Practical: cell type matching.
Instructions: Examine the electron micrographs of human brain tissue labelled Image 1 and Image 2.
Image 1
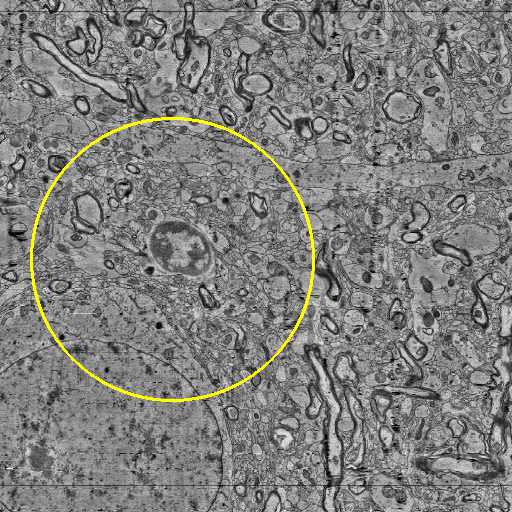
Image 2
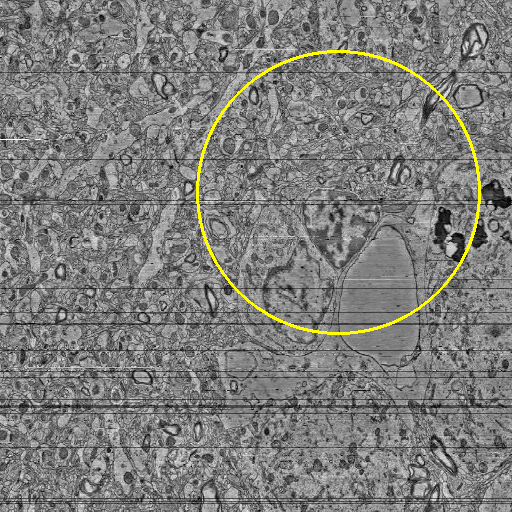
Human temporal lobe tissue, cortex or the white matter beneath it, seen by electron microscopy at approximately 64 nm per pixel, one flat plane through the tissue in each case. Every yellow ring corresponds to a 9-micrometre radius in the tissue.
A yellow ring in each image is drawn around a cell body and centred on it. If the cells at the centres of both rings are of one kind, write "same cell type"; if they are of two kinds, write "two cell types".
same cell type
